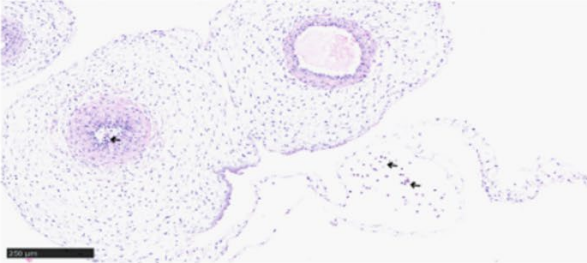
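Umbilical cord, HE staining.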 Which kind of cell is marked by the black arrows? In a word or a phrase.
Inflammatory cells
